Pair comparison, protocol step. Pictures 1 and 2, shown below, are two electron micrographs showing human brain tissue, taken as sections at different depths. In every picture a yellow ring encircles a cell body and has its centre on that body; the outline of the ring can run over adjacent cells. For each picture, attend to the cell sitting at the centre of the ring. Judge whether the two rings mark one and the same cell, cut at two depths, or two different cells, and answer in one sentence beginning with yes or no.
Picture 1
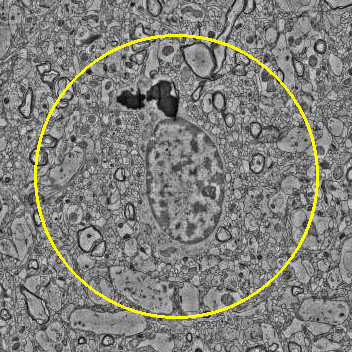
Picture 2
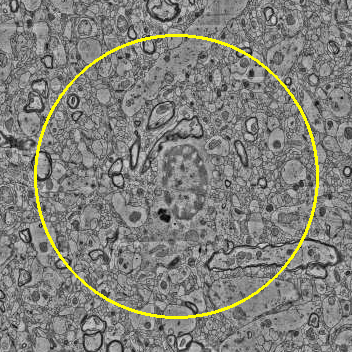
Yes, the marked cell is the same in both rings.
